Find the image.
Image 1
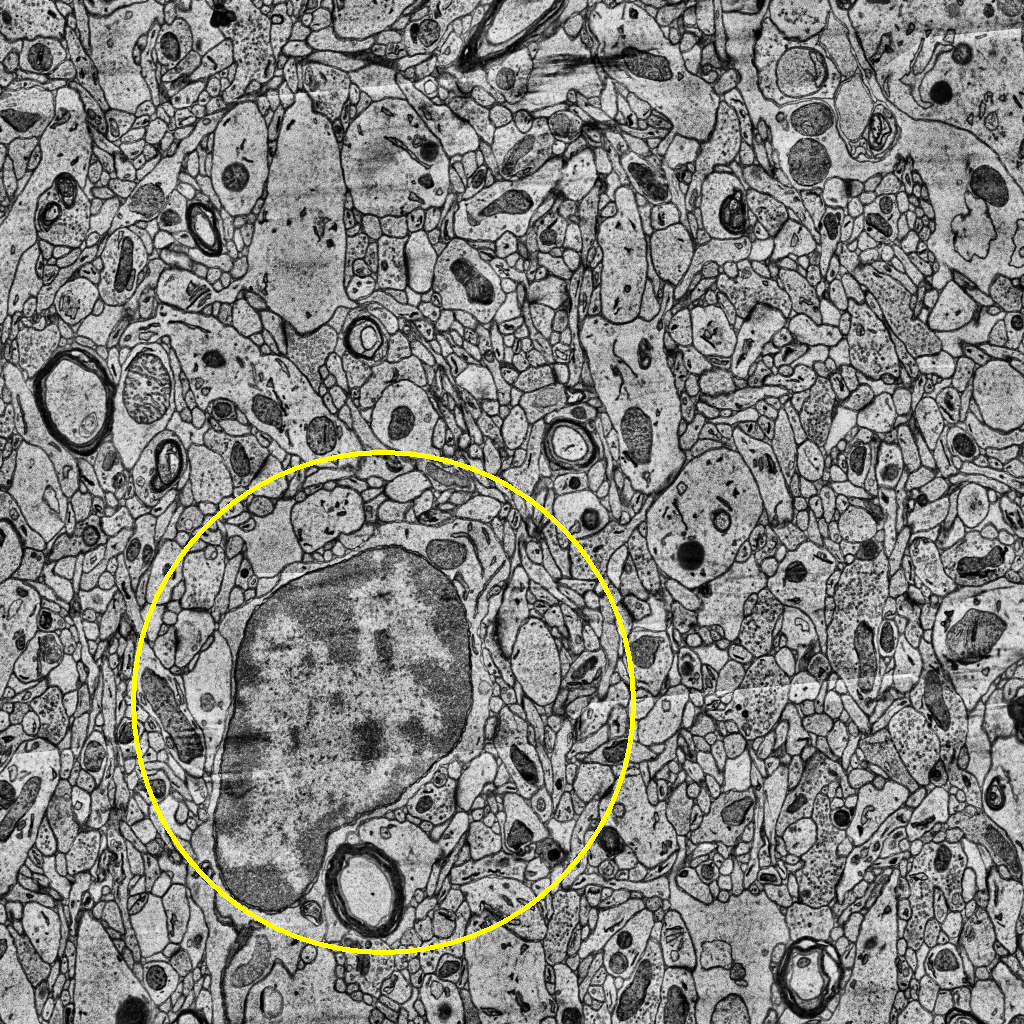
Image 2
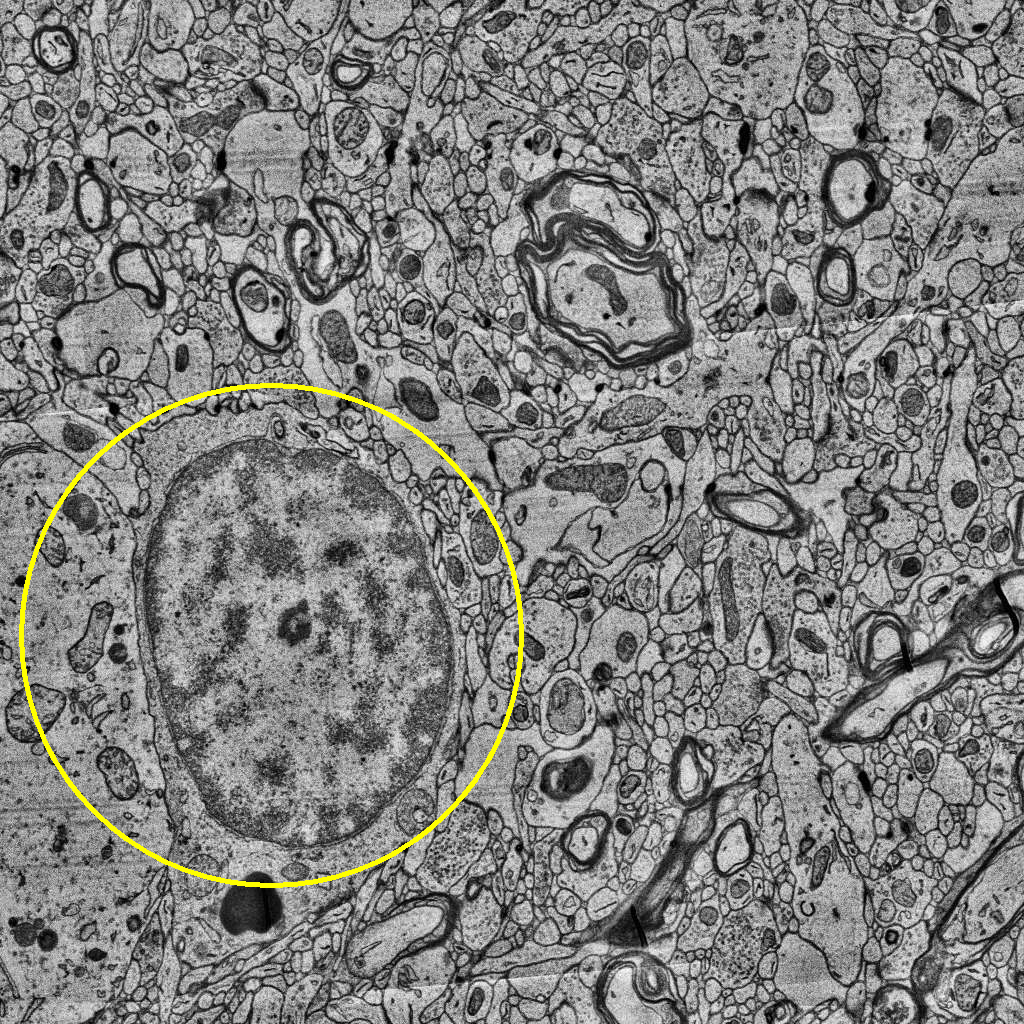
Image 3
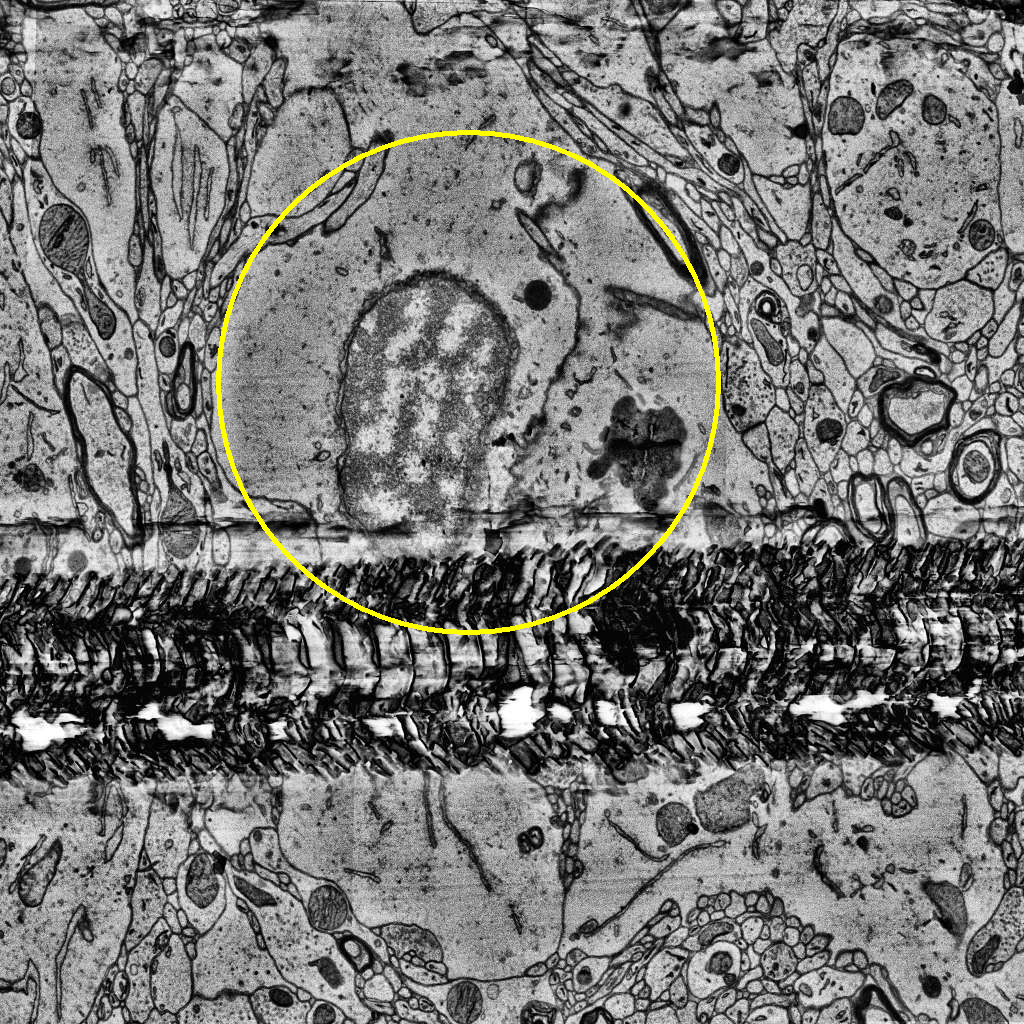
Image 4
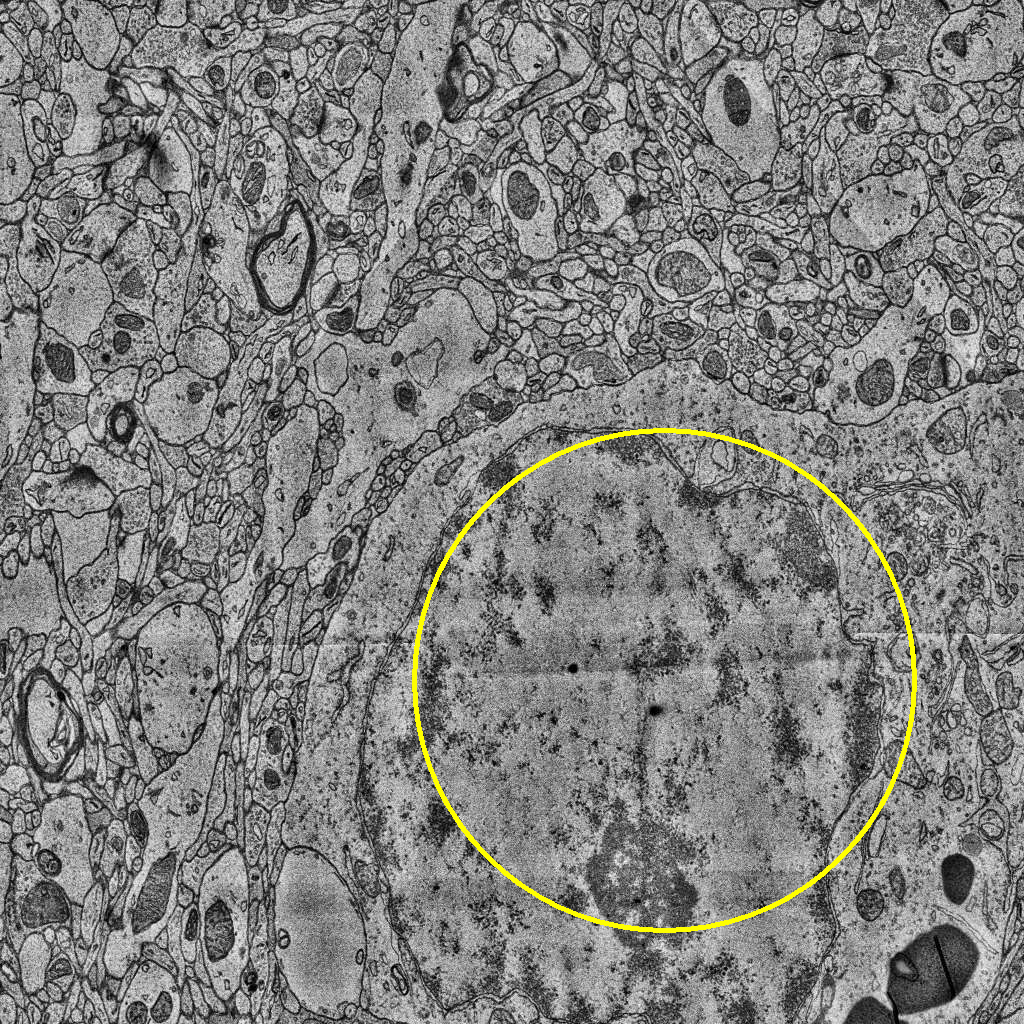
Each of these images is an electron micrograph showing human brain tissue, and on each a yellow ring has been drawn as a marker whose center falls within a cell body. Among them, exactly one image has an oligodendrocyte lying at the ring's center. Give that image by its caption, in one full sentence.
The center of the ring in Image 2 falls within the cell the question describes.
